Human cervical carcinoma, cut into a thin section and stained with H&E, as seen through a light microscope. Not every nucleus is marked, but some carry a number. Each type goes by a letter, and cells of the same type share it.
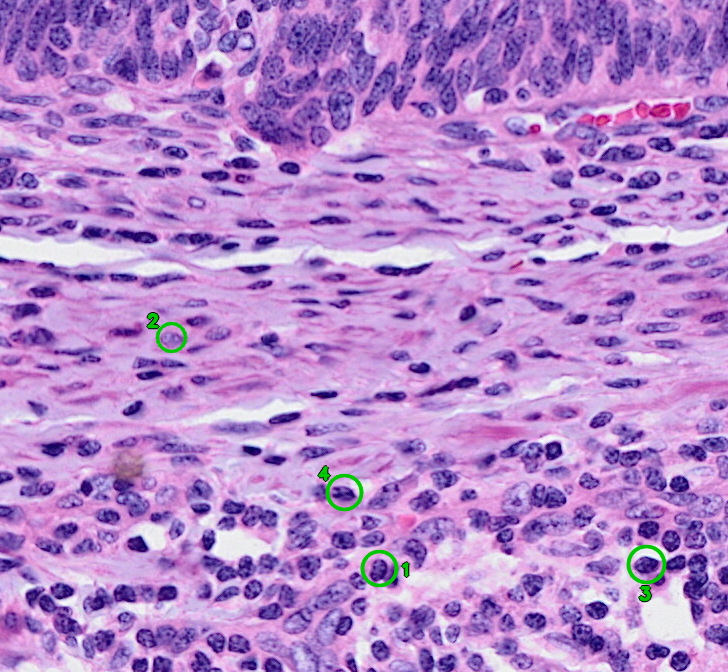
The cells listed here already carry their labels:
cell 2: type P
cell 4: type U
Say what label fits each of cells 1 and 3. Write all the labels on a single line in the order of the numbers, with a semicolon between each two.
type U; type U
